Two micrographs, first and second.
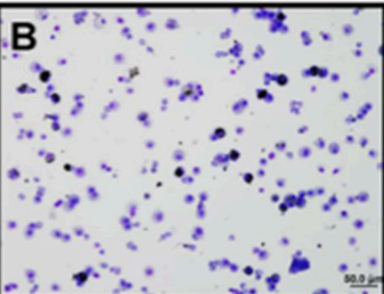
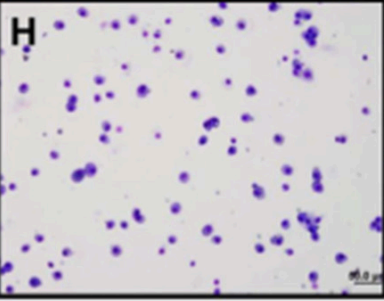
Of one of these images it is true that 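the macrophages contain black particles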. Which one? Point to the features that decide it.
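The first image. Second image: rounded purple cells with no black inclusions. First image: several cells hold dense black particles in their cytoplasm.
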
